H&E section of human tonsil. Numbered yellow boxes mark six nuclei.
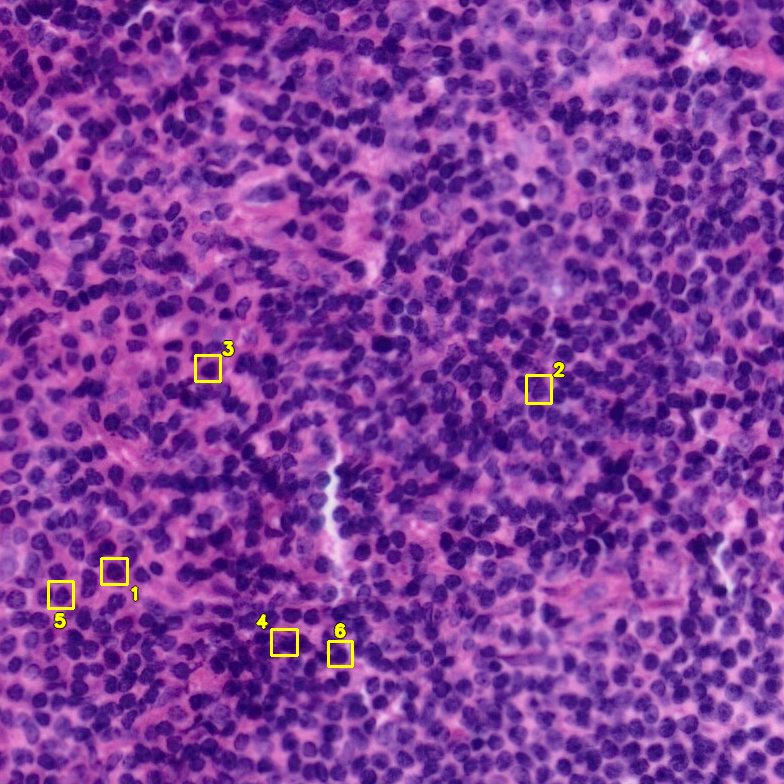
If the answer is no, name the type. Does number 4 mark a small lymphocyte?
Yes.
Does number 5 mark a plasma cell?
Yes.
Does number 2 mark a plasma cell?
No, it is a small lymphocyte.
